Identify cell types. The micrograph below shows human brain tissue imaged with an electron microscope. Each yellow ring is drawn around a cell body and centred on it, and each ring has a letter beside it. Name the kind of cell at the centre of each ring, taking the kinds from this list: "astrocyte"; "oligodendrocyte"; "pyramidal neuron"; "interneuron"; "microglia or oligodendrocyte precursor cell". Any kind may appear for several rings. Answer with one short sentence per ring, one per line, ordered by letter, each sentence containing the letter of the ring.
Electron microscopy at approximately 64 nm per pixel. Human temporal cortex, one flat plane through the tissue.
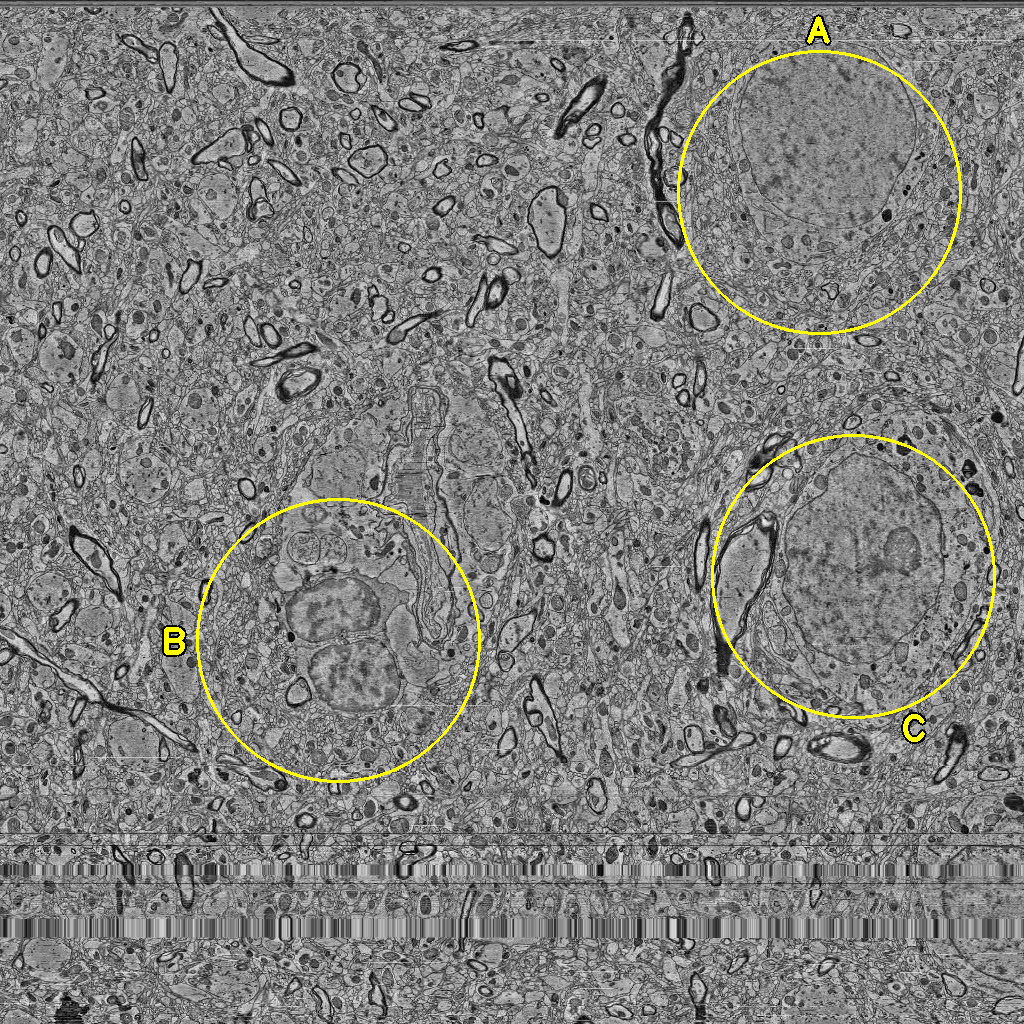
Ring A marks a pyramidal neuron.
Ring B marks an oligodendrocyte.
Ring C marks a pyramidal neuron.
